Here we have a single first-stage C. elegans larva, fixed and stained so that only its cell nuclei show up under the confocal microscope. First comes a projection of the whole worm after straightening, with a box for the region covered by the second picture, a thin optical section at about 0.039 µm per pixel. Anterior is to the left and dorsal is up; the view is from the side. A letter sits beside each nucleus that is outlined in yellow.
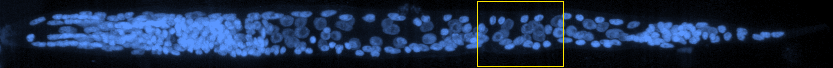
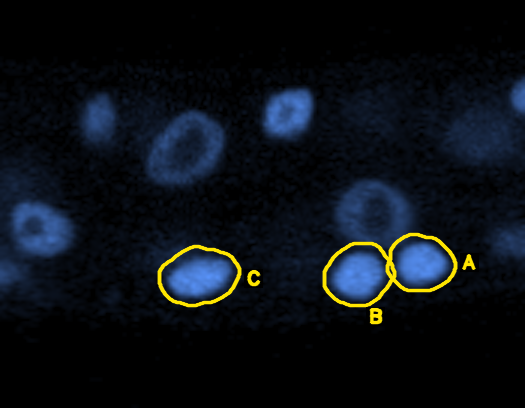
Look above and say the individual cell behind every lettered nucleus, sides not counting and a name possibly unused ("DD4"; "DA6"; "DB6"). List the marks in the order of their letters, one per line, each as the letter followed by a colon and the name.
A: DA6
B: DB6
C: DD4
